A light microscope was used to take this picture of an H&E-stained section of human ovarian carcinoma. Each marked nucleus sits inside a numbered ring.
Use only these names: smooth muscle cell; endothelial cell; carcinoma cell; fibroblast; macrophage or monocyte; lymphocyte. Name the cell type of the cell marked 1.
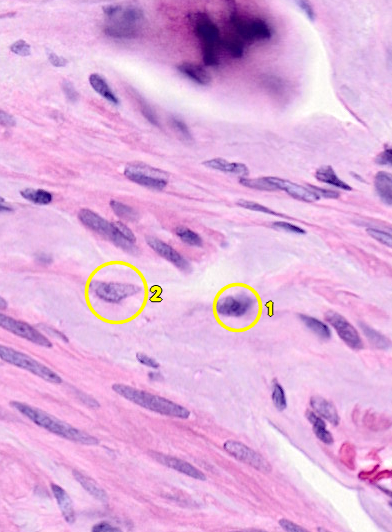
fibroblast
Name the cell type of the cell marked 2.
smooth muscle cell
